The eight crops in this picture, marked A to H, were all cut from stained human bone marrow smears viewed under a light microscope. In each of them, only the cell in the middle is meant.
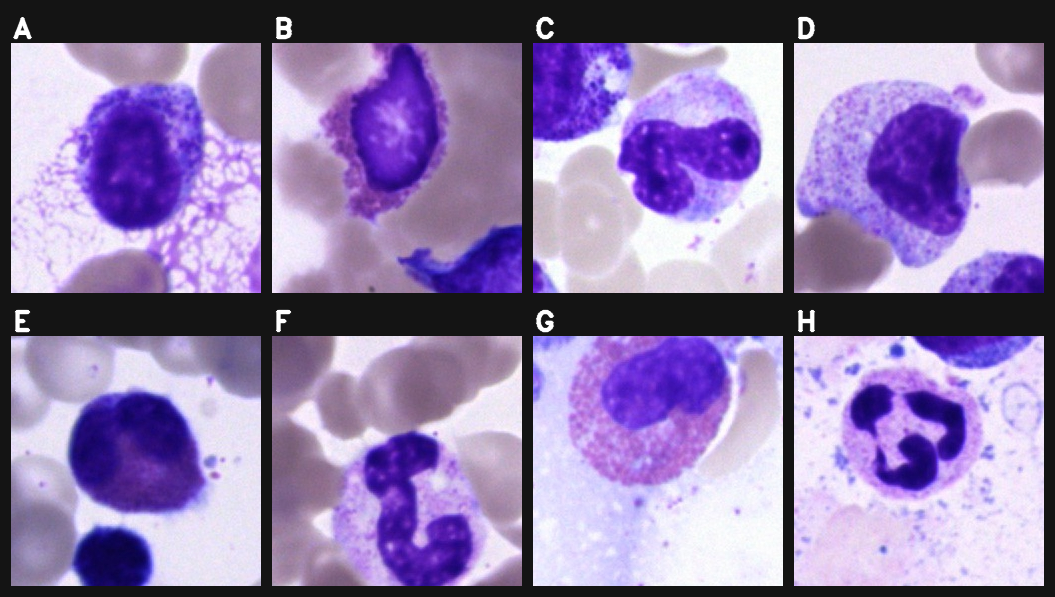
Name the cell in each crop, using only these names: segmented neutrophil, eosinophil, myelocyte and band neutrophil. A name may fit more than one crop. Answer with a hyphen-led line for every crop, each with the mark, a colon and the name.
- A: myelocyte
- B: eosinophil
- C: segmented neutrophil
- D: myelocyte
- E: eosinophil
- F: band neutrophil
- G: eosinophil
- H: segmented neutrophil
